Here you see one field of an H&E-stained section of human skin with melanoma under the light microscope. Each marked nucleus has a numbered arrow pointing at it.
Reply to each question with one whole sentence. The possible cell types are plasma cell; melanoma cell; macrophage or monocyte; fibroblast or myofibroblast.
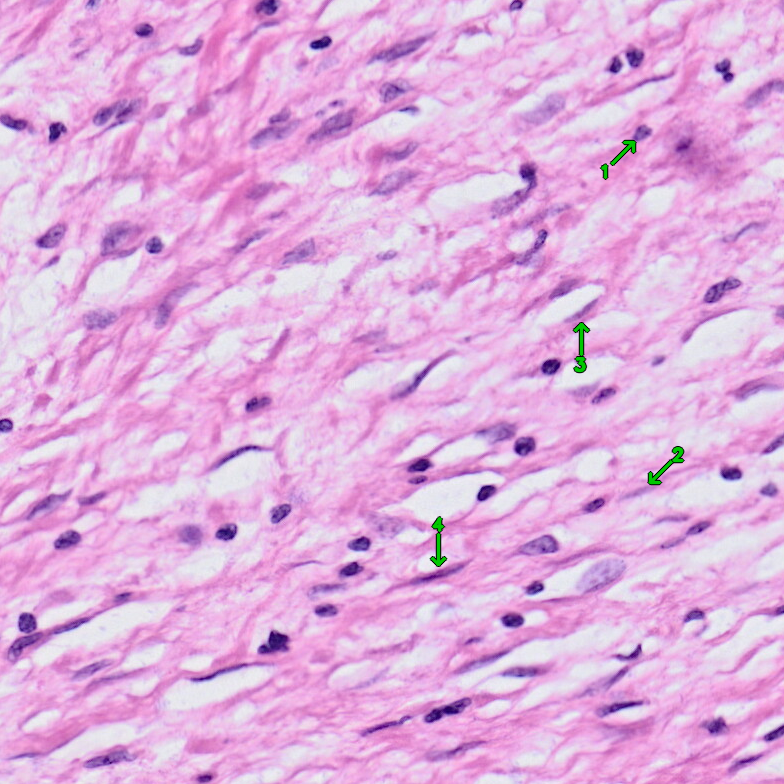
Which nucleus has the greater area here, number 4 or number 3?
Number 4 is larger; its area is about 1.5 times that of number 3.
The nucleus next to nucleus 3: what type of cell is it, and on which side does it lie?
The nearest one is a fibroblast or myofibroblast, found above and to the left of nucleus 3.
